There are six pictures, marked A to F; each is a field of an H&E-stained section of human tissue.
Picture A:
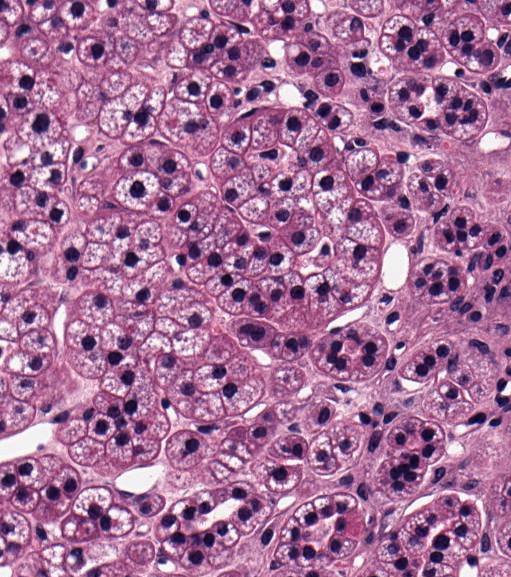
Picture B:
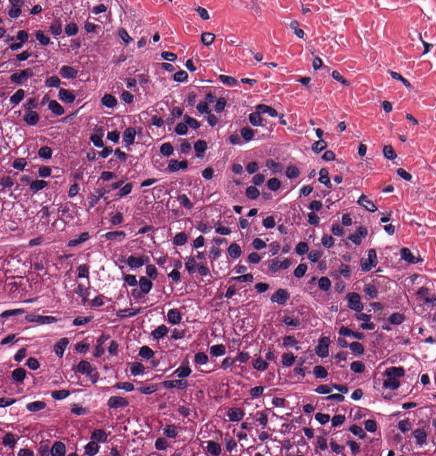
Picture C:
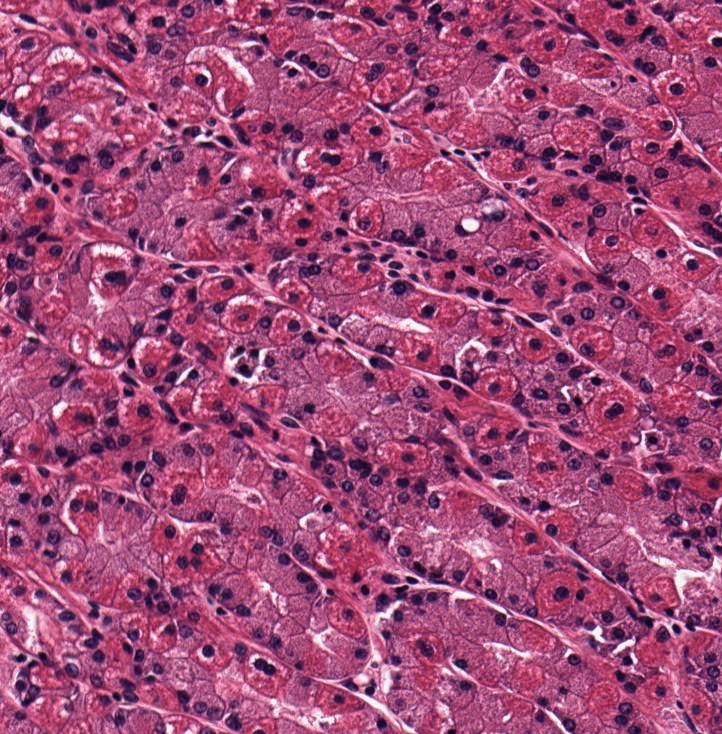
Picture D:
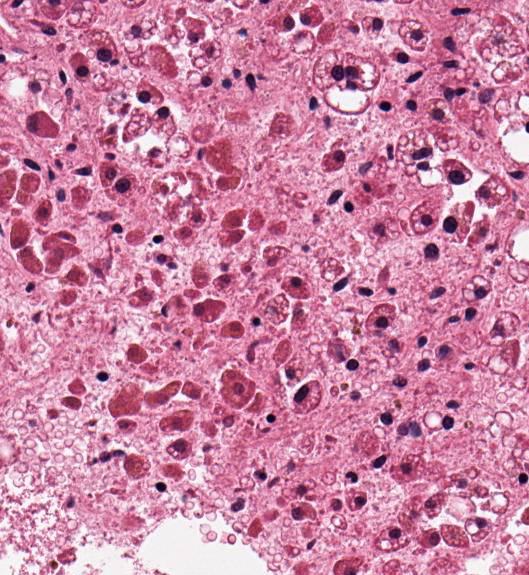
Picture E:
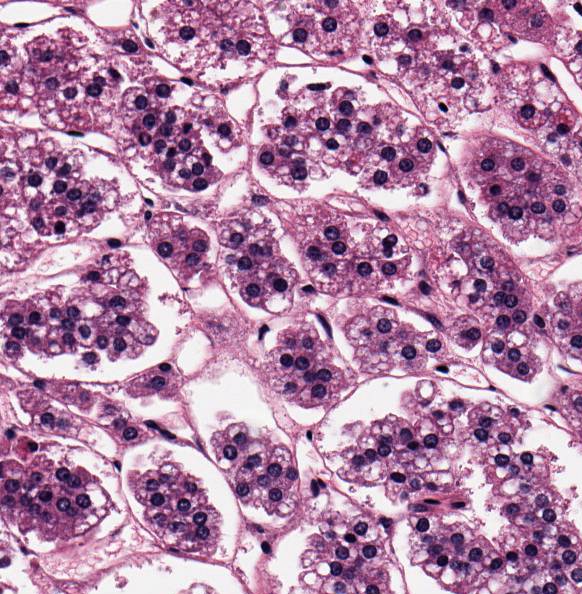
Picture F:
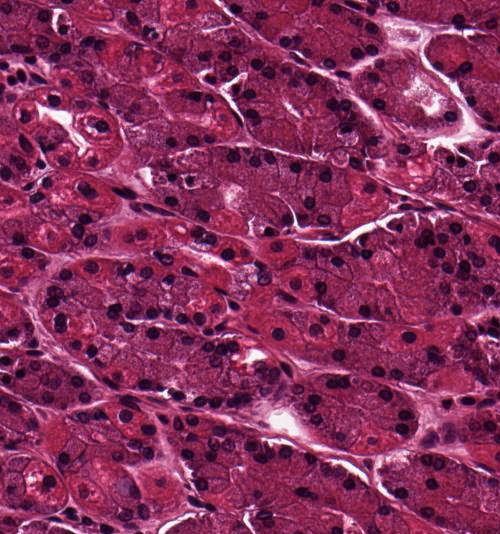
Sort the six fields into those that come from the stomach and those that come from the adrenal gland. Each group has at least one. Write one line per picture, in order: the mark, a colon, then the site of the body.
A: adrenal gland
B: adrenal gland
C: stomach
D: adrenal gland
E: adrenal gland
F: stomach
